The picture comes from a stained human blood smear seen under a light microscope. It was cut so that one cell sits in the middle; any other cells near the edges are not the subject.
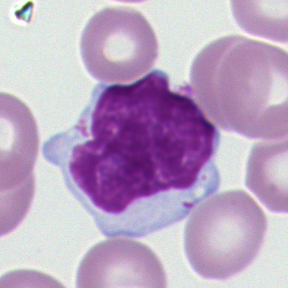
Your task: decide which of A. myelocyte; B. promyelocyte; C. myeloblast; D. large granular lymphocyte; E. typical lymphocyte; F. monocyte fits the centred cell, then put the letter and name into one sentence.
In the centre of the crop there is a large granular lymphocyte, making option D correct.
